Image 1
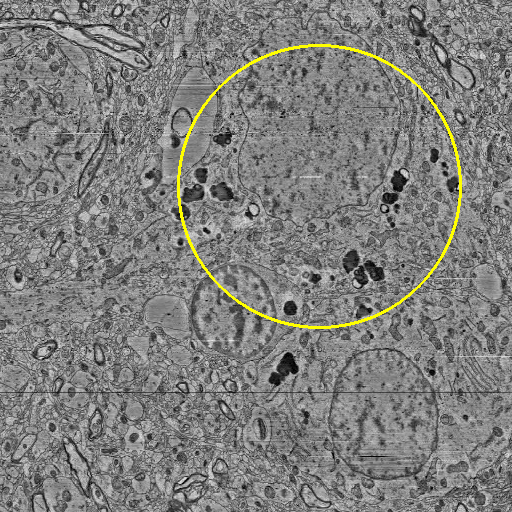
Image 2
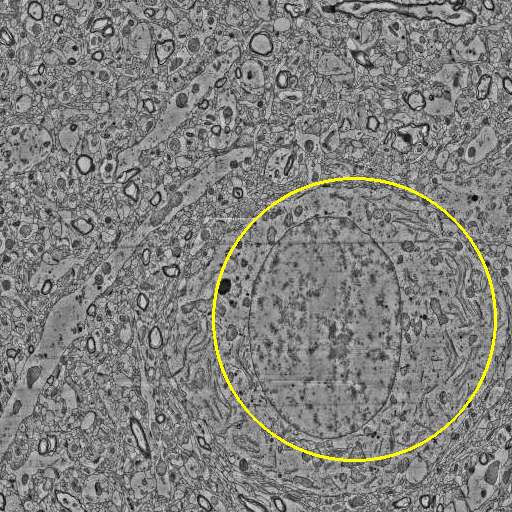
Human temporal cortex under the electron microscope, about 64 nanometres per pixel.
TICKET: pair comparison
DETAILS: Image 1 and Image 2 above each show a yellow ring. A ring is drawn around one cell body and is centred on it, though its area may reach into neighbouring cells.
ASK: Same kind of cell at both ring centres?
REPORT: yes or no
no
